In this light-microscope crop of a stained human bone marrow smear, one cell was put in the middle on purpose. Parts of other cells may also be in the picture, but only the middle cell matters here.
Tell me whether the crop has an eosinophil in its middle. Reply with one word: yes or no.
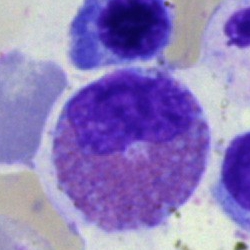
yes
